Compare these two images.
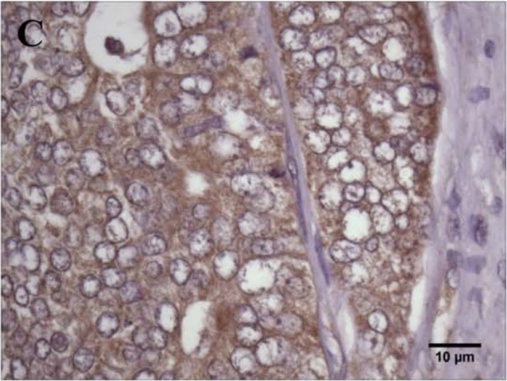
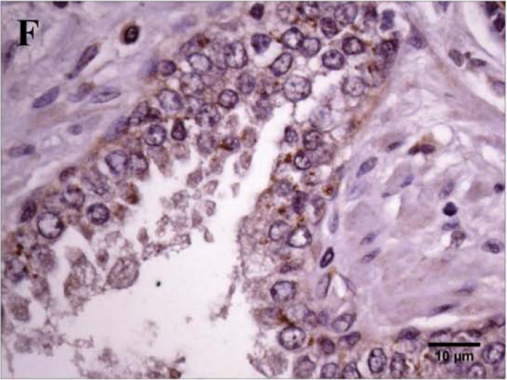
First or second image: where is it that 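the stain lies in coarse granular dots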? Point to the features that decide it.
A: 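Second image: brown stain forms discrete dark dots in the epithelial cells. First image: brown stain is spread evenly through the cytoplasm.
Hence: the second image.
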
